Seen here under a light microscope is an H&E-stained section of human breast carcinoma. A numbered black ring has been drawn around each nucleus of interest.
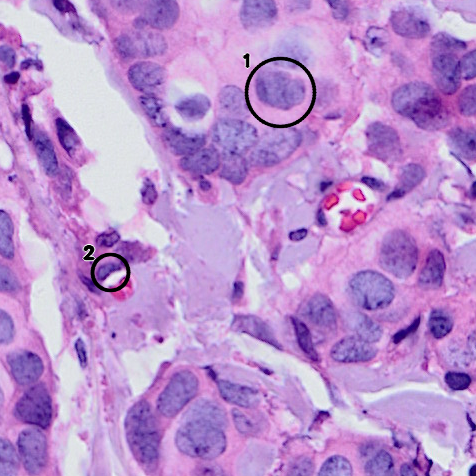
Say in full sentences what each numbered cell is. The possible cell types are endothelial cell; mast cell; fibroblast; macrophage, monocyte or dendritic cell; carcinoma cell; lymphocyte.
Cell 1 is a carcinoma cell. Cell 2 is an endothelial cell.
